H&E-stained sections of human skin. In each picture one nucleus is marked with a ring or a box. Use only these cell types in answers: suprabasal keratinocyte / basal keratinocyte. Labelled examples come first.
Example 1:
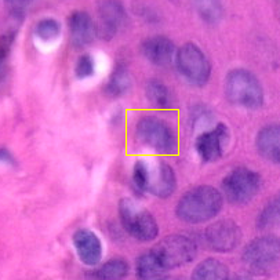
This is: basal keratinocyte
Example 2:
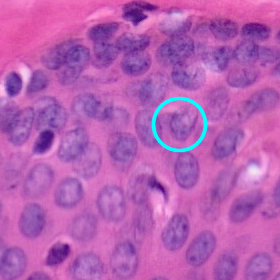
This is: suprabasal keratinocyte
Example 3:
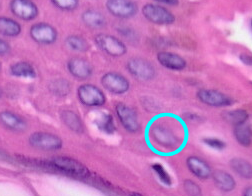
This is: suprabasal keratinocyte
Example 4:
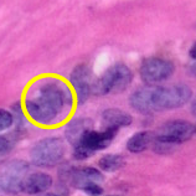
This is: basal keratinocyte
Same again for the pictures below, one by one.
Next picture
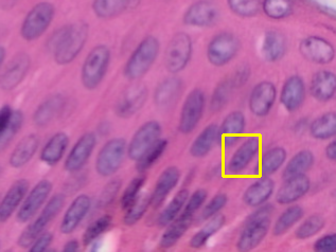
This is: suprabasal keratinocyte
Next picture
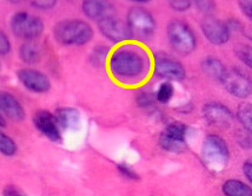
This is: basal keratinocyte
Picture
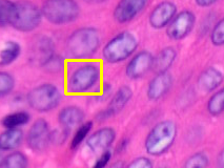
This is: suprabasal keratinocyte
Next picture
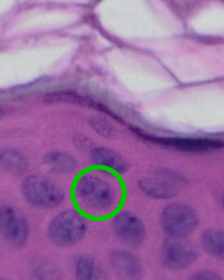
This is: suprabasal keratinocyte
